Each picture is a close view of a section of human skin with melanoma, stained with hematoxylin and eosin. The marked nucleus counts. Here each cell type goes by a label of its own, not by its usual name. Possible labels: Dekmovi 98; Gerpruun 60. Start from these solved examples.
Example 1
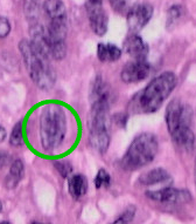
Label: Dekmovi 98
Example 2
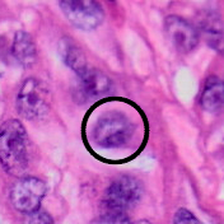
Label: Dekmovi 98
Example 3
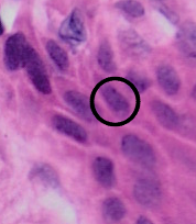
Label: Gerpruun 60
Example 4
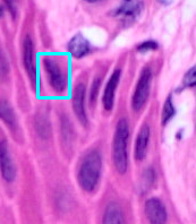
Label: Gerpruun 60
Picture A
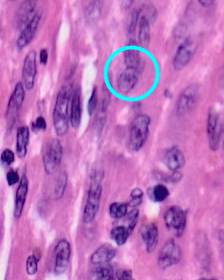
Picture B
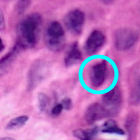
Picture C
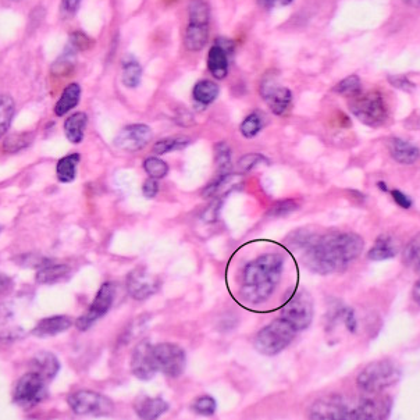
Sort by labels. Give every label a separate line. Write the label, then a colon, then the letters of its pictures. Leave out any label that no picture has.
Dekmovi 98: A, C
Gerpruun 60: B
